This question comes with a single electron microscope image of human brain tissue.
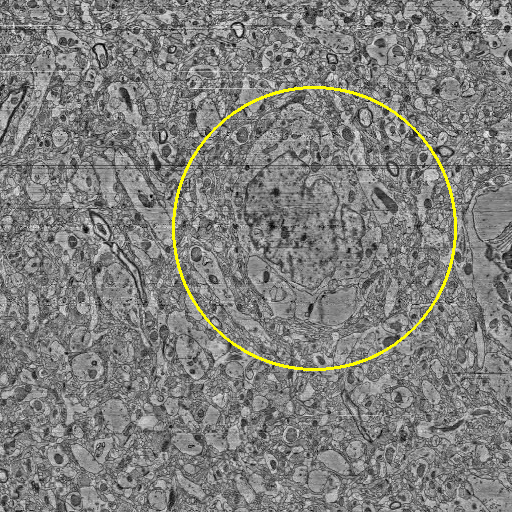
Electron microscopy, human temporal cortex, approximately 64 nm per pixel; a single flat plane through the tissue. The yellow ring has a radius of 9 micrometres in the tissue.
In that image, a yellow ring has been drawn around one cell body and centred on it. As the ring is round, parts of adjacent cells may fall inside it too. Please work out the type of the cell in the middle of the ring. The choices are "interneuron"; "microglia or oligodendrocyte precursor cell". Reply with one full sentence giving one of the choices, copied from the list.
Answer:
Of the choices, an interneuron is the cell sitting in the middle of the ring.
